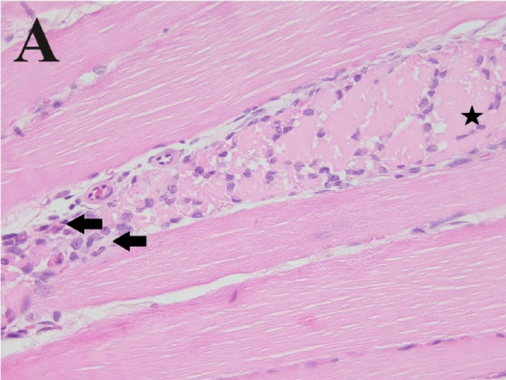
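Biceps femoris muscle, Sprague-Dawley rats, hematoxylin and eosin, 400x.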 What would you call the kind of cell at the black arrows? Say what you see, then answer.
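Small cells with single round dark nuclei crowd the space between fibers. Few cells have lobed nuclei. That points to this answer: mononuclear cells.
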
